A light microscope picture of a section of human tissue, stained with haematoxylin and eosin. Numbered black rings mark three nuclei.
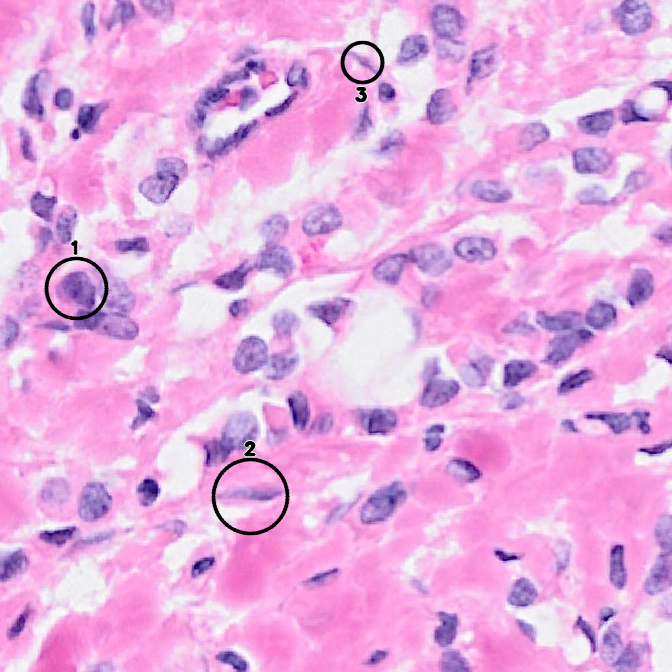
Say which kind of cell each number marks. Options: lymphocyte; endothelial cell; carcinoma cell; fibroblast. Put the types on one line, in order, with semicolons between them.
carcinoma cell; fibroblast; fibroblast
